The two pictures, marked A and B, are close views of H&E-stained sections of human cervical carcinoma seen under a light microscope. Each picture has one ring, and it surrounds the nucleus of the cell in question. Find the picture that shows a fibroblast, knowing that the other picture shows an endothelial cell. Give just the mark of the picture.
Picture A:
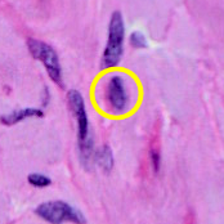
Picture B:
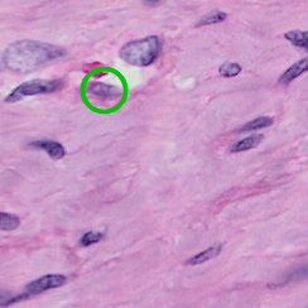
A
